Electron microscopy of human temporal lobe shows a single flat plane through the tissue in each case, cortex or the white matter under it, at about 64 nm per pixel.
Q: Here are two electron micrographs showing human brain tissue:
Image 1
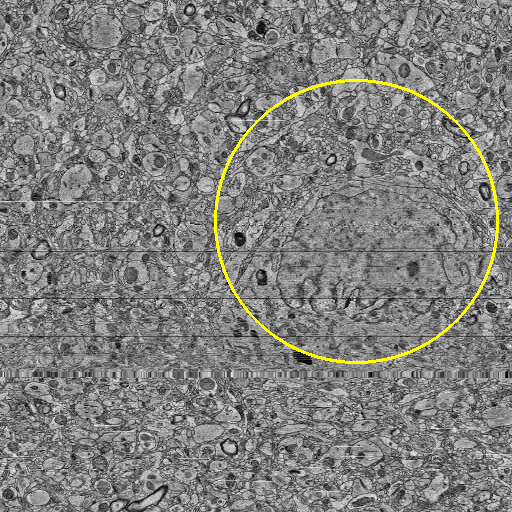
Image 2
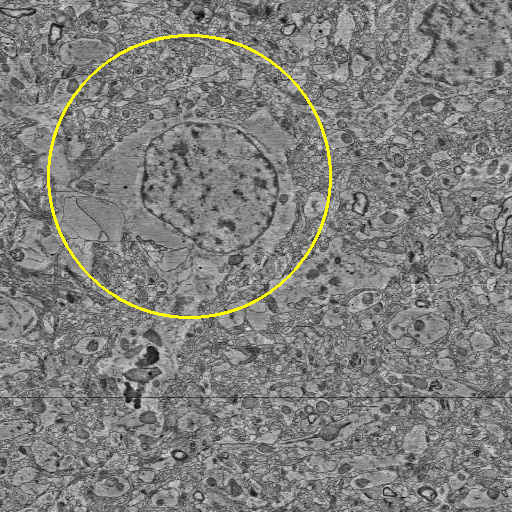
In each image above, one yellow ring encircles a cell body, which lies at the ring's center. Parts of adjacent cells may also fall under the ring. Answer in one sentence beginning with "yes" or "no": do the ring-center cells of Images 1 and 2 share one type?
No, in Images 1 and 2, the ring-center cells are of two types.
